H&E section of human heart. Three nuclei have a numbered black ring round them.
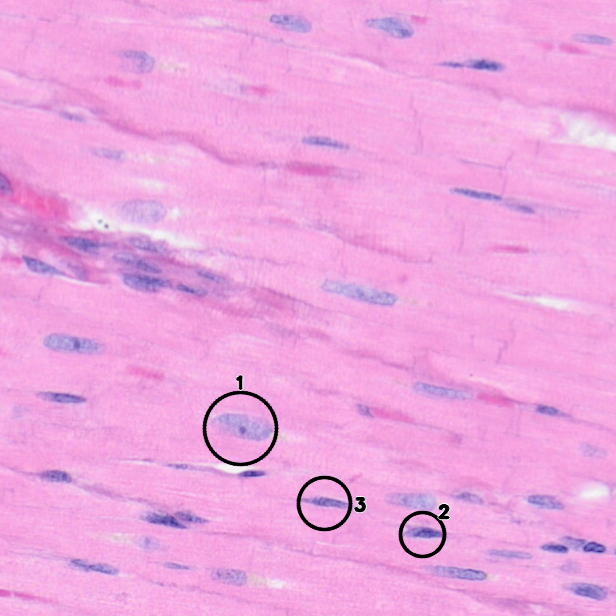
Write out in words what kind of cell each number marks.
Cell 1 is a cardiomyocyte. Cells 2 and 3 are endothelial cells.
